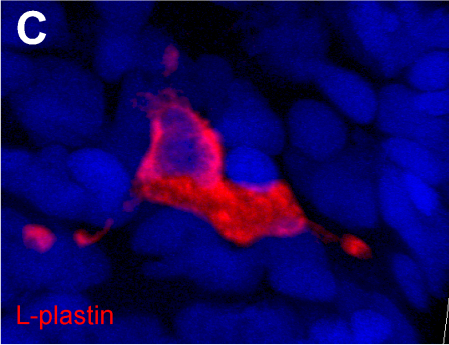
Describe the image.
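A single leukocyte lies among densely packed cells whose oval nuclei are stained blue. Its cytoplasm is intensely red throughout, forming an irregular cell body with a broad extension toward one side. Thin cytoplasmic projections run out from the cell, some ending in small red bulbs at a distance from the body. The neighbouring cells show only blue nuclei and no red.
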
